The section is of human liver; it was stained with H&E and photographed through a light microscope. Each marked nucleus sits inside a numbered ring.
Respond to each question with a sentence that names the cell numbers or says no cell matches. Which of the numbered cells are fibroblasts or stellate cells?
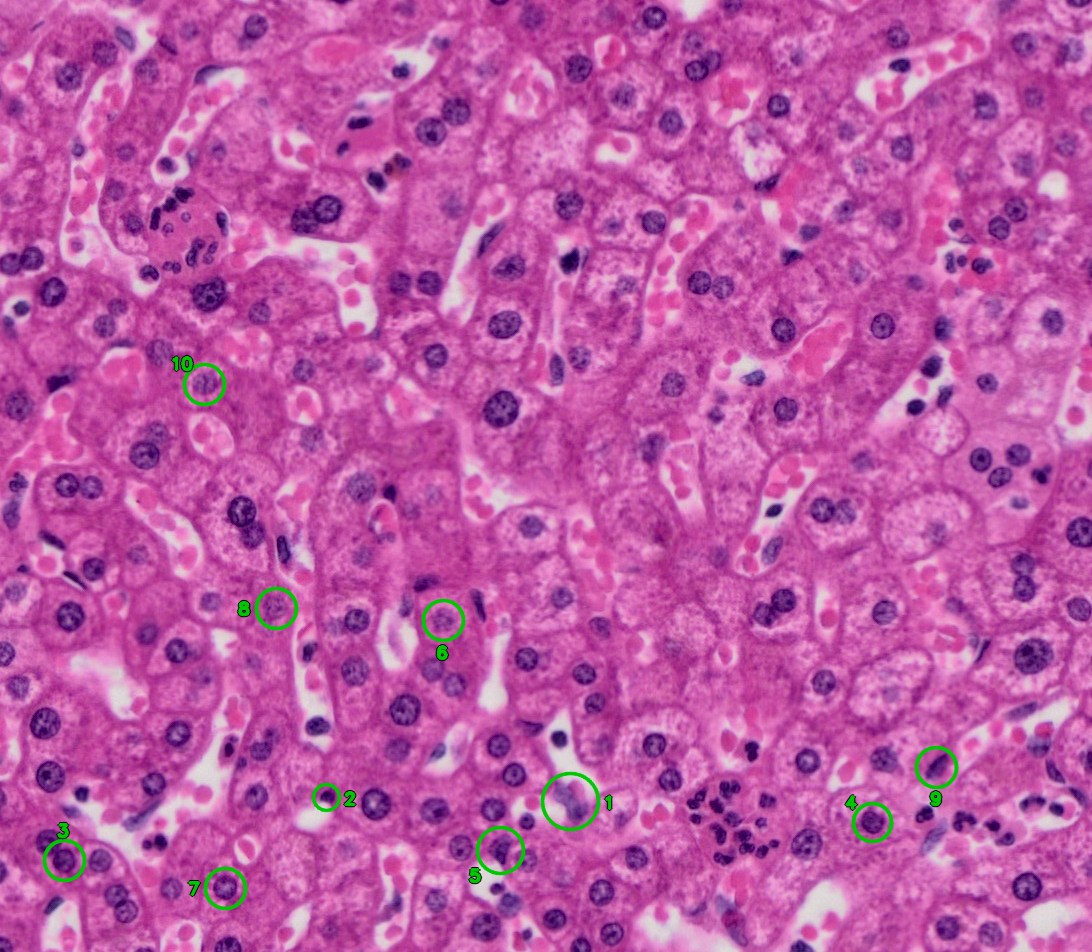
Identified as fibroblasts or stellate cells are the cells numbered 2, 5 and 9.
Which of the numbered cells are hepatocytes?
The cells marked 3, 4, 6, 7, 8 and 10 in the section are hepatocytes.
